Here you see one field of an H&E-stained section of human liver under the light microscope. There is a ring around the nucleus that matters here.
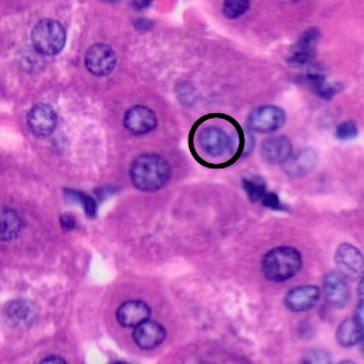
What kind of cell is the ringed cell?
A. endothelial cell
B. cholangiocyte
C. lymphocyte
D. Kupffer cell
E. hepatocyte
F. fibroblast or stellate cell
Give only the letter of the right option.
B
